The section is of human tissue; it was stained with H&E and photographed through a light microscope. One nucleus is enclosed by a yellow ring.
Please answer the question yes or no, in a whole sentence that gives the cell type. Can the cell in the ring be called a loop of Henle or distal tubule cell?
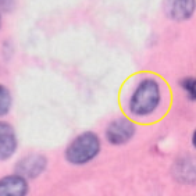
Yes, the cell in the ring is a loop of Henle or distal tubule cell by cell type.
